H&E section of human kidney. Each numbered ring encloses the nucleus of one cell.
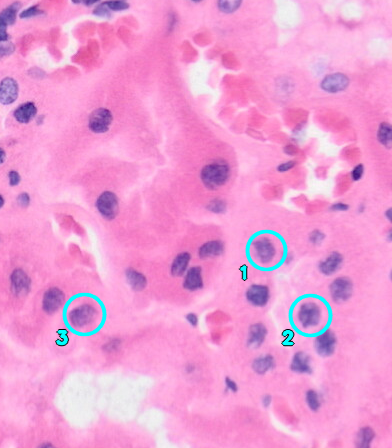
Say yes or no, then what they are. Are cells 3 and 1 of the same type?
No, cell 3 is a proximal tubule cell and cell 1 is a loop of Henle or distal tubule cell.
